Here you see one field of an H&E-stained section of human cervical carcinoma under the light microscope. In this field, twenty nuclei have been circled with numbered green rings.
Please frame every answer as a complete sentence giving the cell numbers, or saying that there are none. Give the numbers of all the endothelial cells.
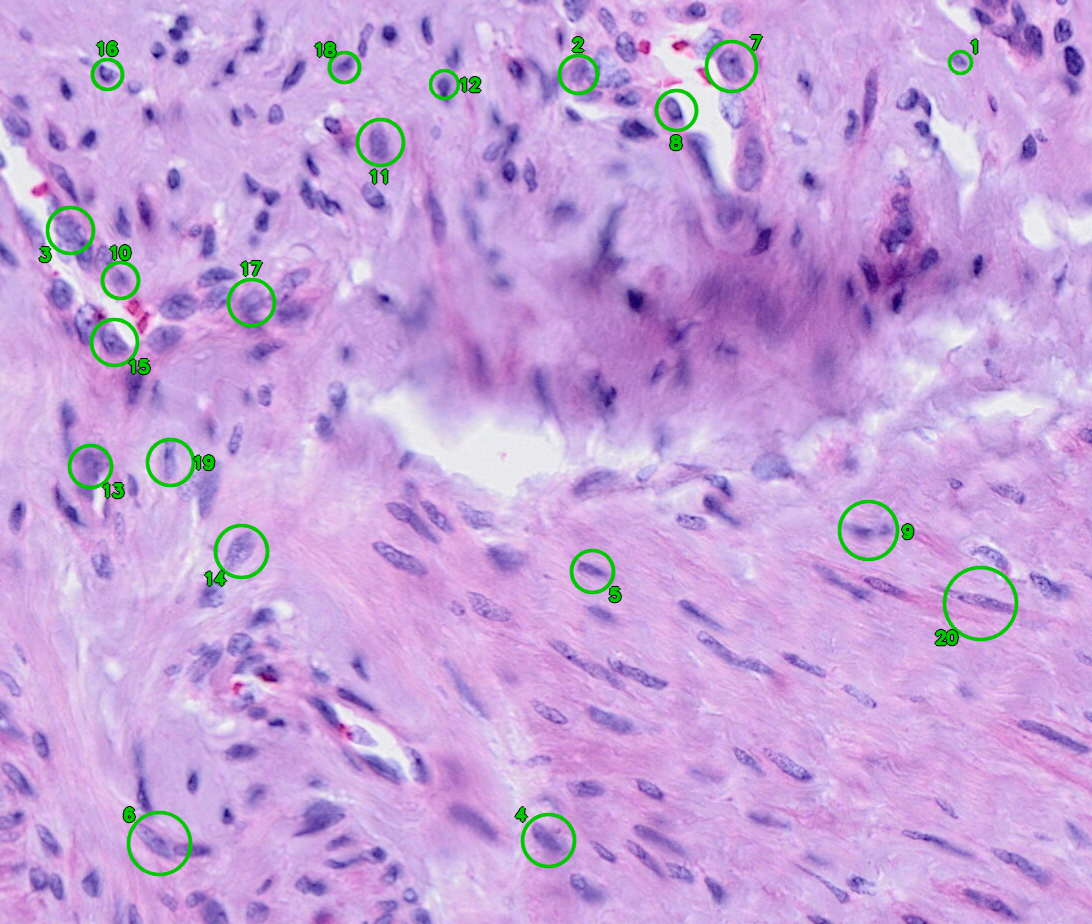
The cells that bear the numbers 2, 3, 7, 8, 10, 13, 15 and 17 are endothelial cells.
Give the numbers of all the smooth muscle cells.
Classified as smooth muscle cells are the cells numbered 6 and 20.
